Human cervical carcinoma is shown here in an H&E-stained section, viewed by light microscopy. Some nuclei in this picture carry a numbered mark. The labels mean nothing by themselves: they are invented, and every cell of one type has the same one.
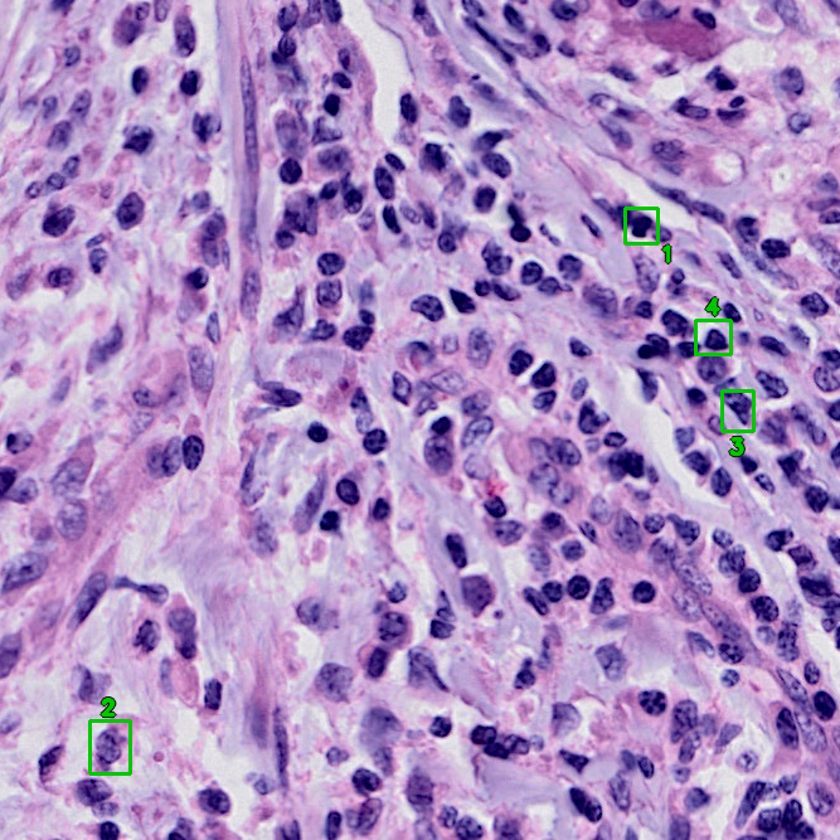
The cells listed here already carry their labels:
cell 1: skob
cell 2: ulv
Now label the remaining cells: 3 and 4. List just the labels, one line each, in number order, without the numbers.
skob
skob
